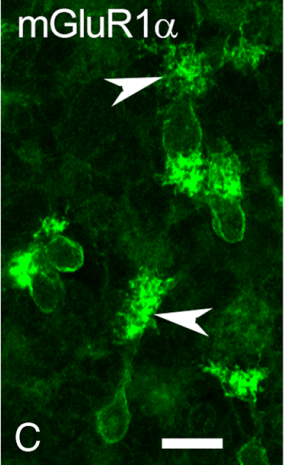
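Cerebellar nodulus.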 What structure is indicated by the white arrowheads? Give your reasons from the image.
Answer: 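Distinct brushes. The arrowheads point to compact, densely labelled tufts of fine green fibres. Each tuft sits close to a small rounded cell body.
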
